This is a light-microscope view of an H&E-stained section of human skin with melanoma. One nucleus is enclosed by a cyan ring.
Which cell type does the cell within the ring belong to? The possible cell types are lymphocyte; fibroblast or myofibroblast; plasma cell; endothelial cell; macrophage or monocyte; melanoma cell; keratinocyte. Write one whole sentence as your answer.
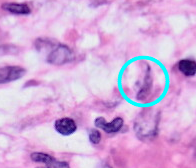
Within this tissue, the cell within the ring is a fibroblast or myofibroblast.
